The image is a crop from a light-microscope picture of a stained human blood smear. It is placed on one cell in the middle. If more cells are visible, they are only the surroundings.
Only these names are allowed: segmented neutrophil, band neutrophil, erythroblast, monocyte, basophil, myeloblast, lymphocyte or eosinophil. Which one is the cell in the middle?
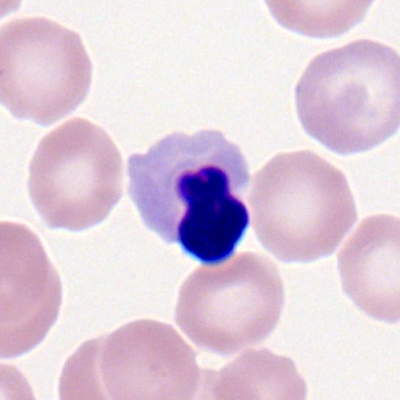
erythroblast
